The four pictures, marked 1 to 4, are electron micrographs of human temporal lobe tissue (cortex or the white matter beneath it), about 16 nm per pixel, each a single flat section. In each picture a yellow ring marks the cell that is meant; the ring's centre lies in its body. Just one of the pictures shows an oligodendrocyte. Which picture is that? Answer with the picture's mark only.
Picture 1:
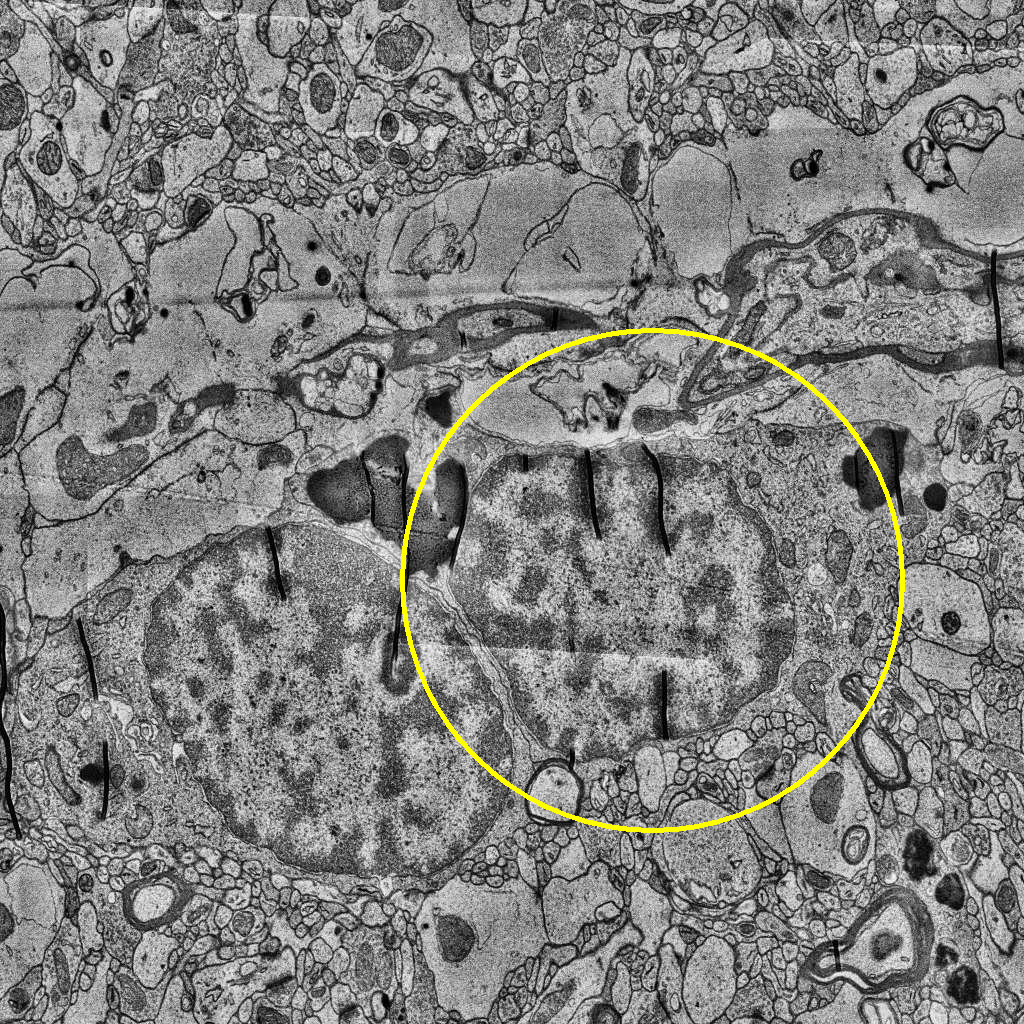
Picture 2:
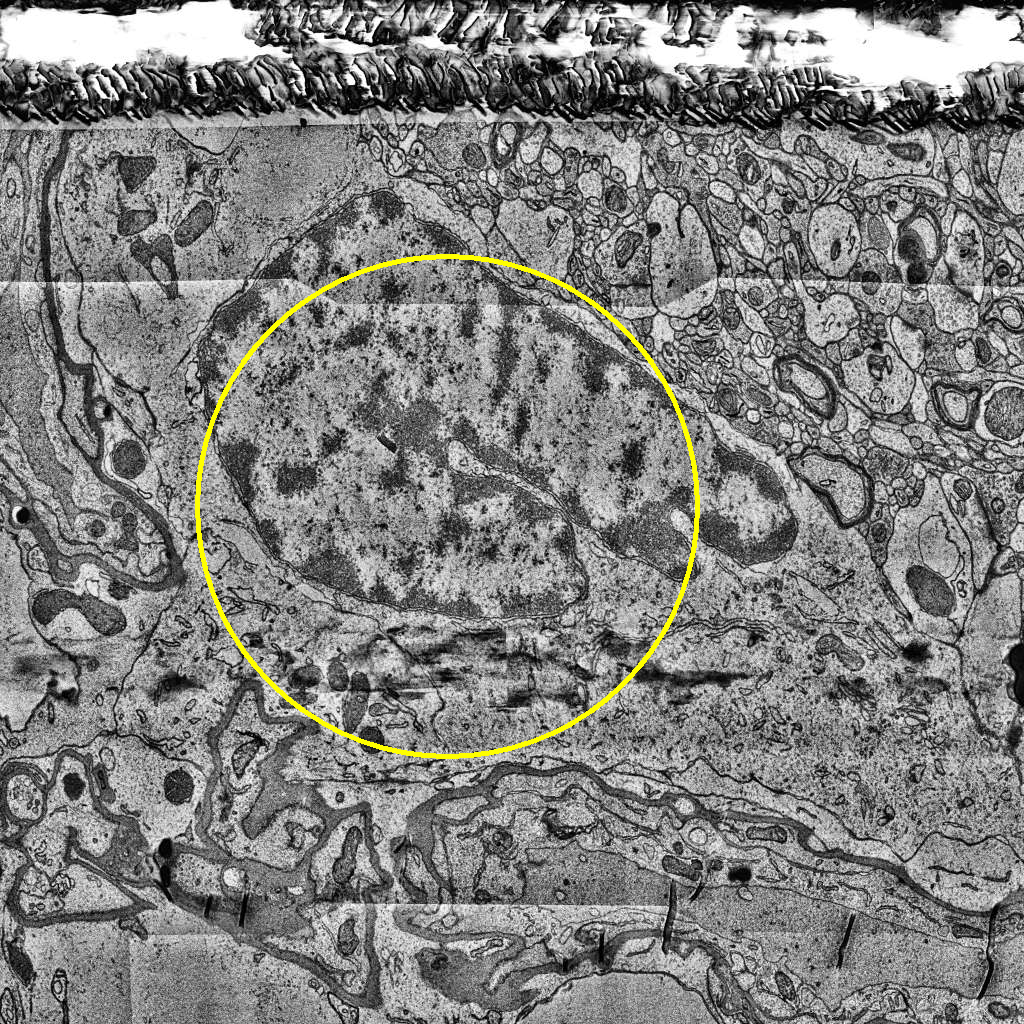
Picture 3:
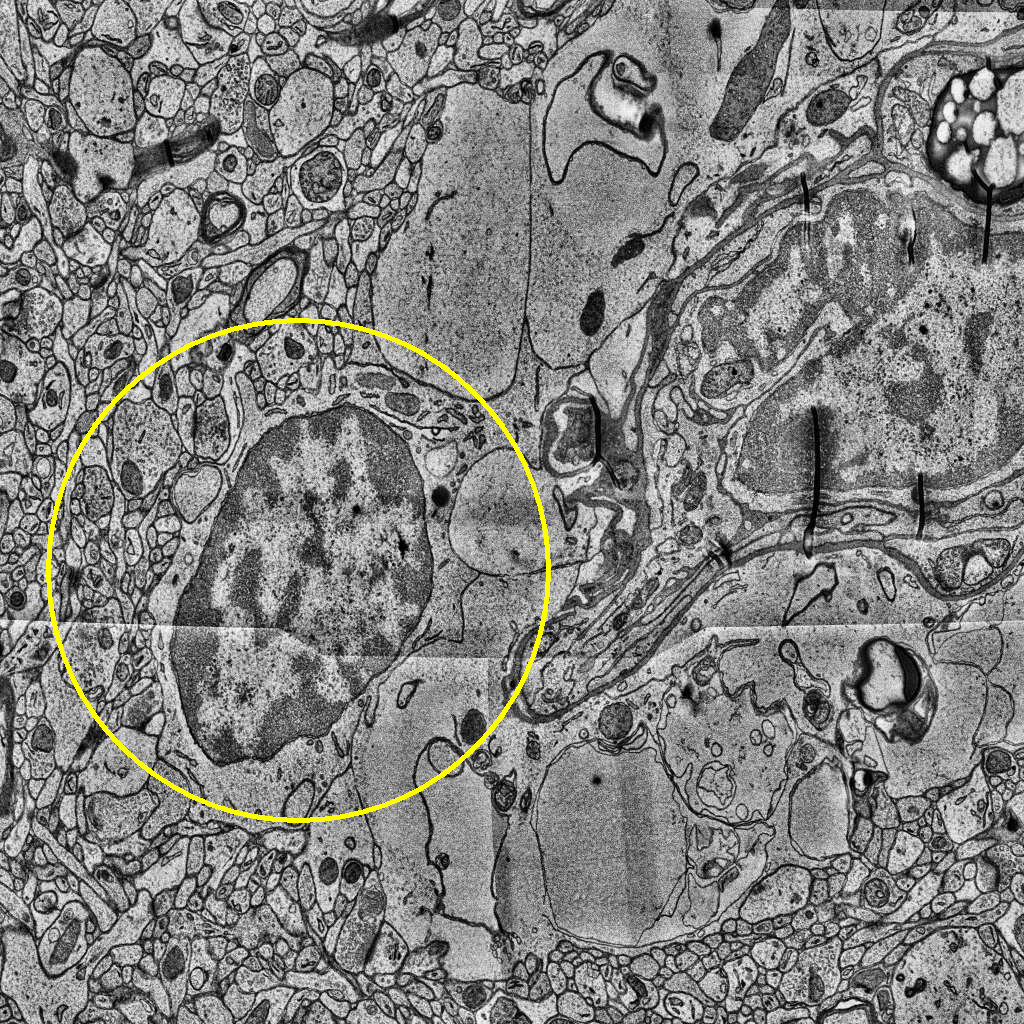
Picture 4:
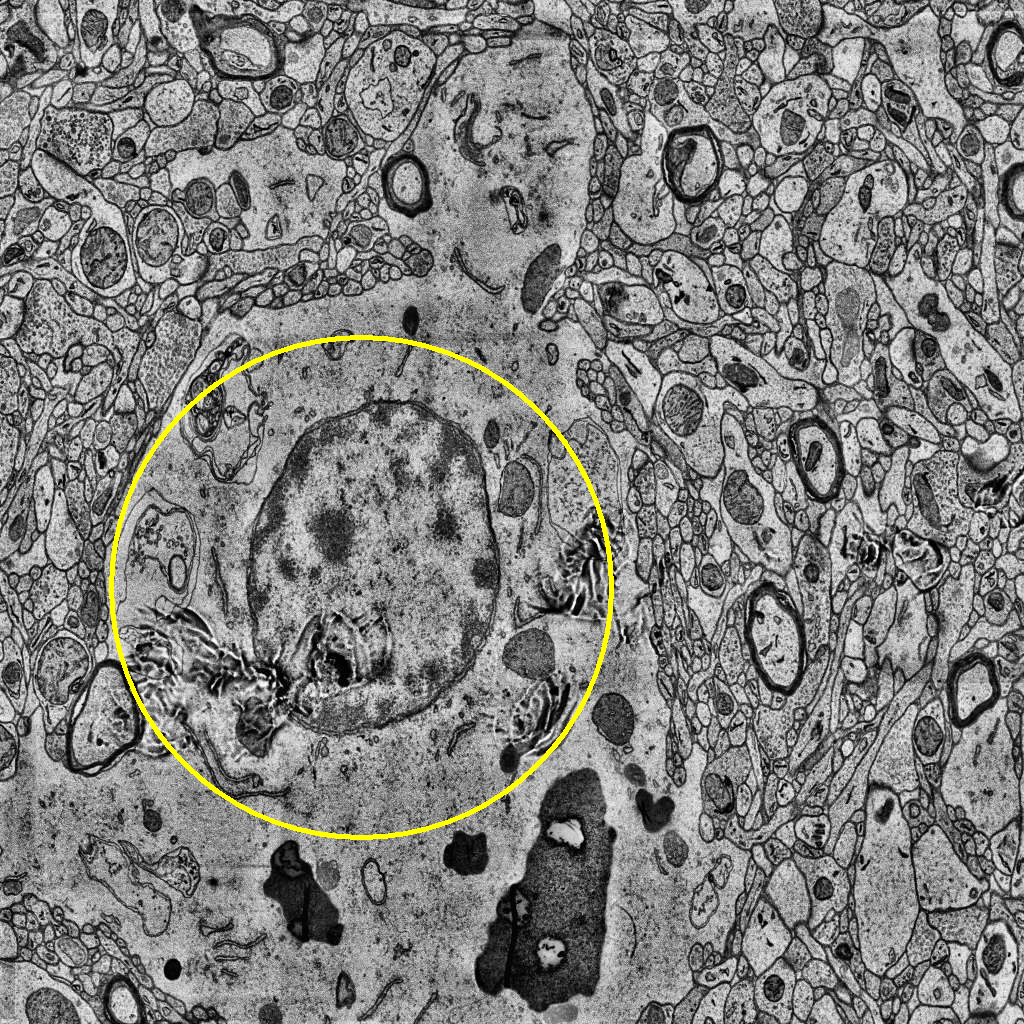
1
